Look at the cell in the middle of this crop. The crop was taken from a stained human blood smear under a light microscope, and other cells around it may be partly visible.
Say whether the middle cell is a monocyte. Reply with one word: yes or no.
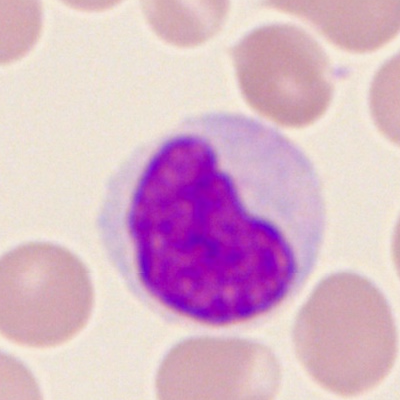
yes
